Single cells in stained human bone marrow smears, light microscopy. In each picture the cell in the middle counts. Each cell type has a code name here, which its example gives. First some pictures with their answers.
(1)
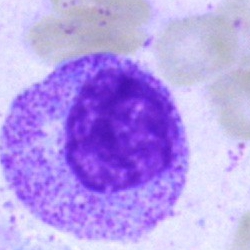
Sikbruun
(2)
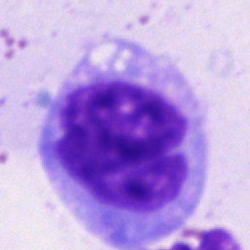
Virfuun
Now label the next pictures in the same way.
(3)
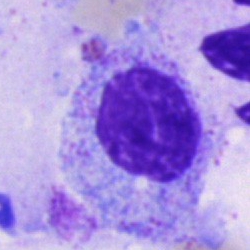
Sikbruun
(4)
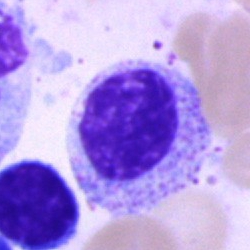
Sikbruun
